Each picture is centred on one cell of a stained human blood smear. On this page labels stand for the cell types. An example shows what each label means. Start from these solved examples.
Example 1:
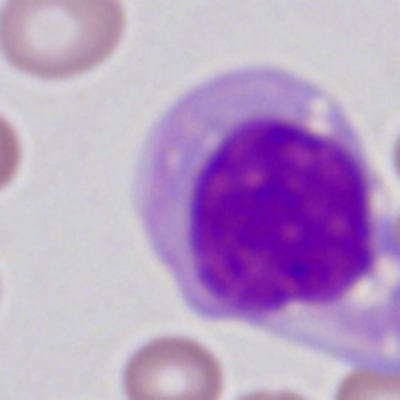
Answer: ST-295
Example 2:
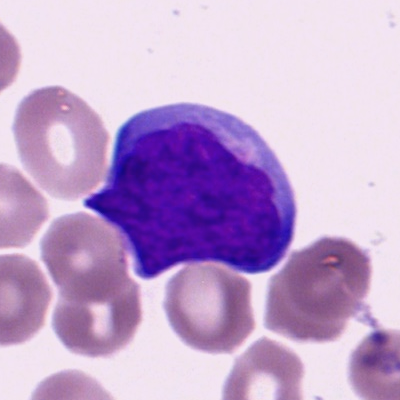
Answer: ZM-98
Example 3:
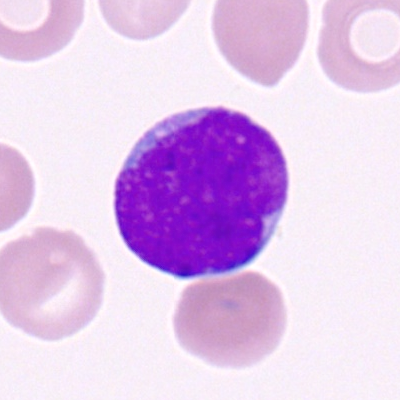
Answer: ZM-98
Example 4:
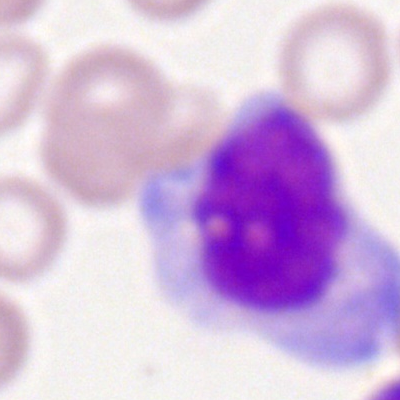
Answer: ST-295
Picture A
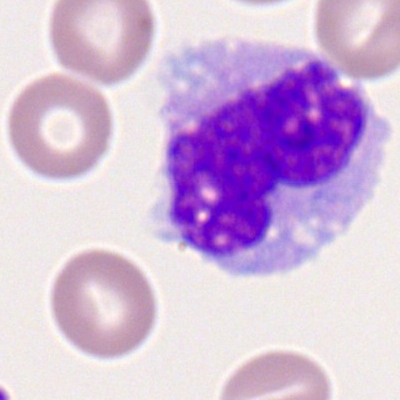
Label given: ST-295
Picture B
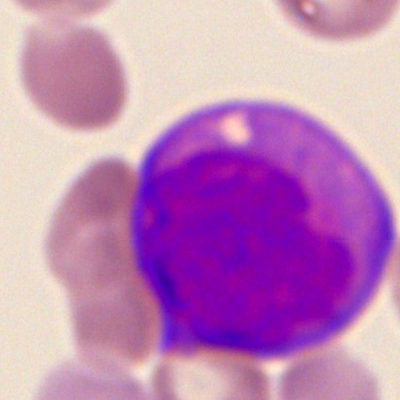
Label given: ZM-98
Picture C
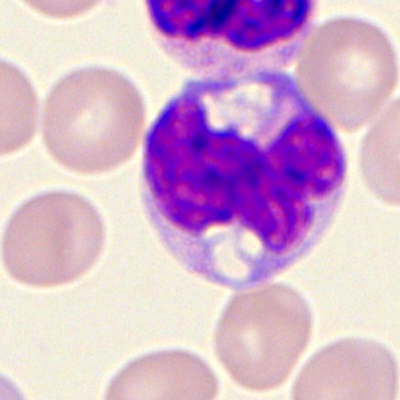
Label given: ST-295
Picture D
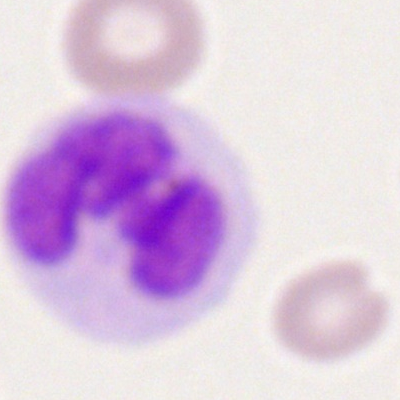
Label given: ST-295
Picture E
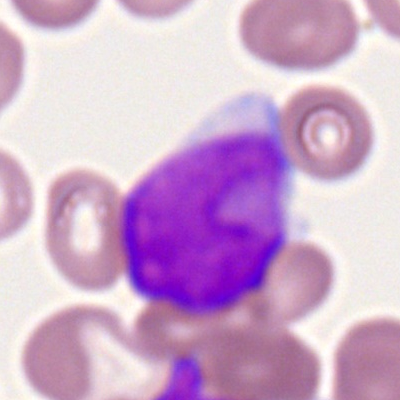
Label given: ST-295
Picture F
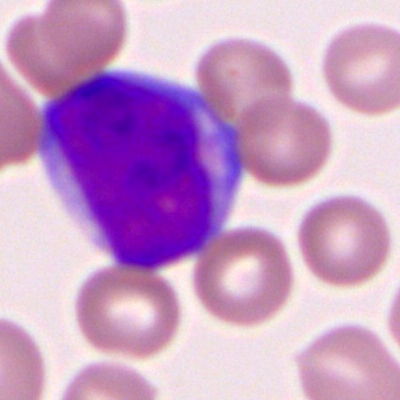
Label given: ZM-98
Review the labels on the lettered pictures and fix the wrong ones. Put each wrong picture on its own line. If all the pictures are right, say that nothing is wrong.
E should be ZM-98, not ST-295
